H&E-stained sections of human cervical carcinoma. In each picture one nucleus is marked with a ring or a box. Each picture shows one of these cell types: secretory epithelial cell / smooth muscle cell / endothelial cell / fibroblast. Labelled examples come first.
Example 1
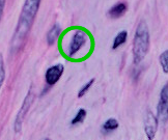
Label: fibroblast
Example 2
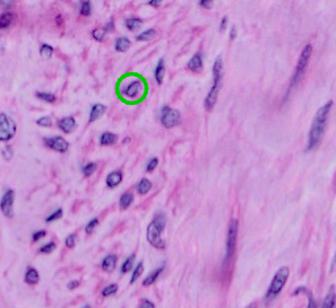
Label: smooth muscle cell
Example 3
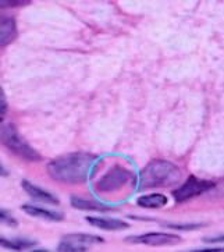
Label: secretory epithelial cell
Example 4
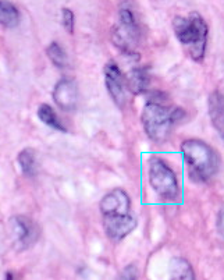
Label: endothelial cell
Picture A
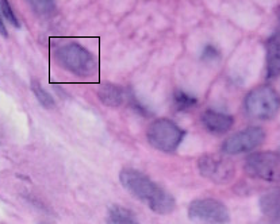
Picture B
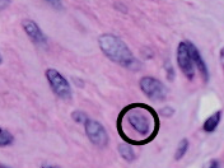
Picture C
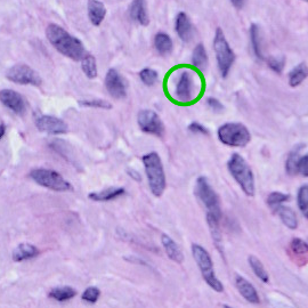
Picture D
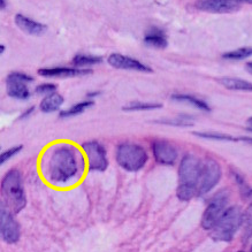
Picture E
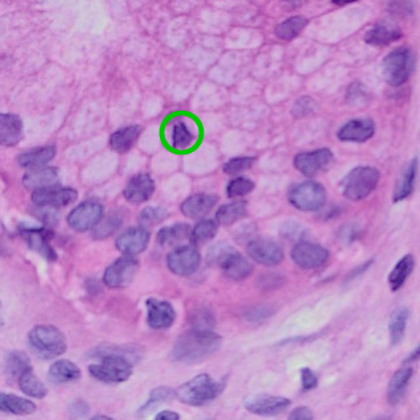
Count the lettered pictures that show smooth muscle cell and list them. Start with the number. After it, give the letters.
1: B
